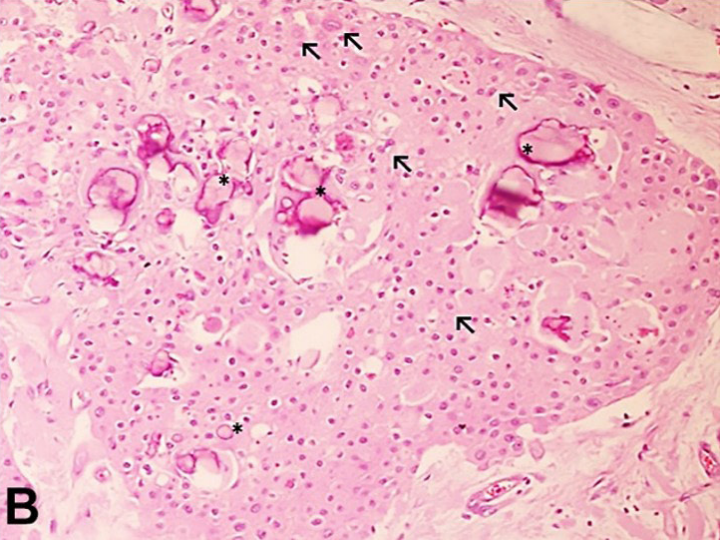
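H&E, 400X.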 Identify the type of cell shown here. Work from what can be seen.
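Polyhedral epithelial cells. A sheet of closely packed cells with angular, many-sided outlines. The cells have pink cytoplasm and round central nuclei.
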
